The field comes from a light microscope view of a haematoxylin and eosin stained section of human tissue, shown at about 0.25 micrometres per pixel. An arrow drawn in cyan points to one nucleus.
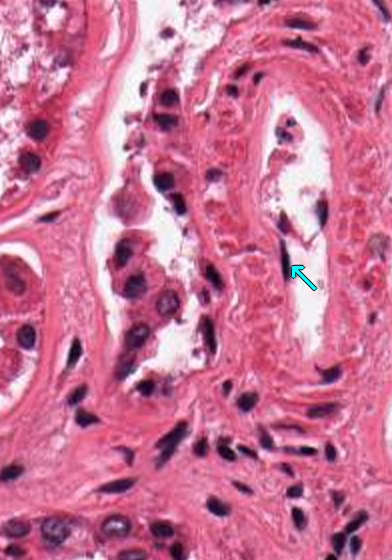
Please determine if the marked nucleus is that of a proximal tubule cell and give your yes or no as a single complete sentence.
No, the marked nucleus, which belongs to a supporting cell, is not part of a proximal tubule cell.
